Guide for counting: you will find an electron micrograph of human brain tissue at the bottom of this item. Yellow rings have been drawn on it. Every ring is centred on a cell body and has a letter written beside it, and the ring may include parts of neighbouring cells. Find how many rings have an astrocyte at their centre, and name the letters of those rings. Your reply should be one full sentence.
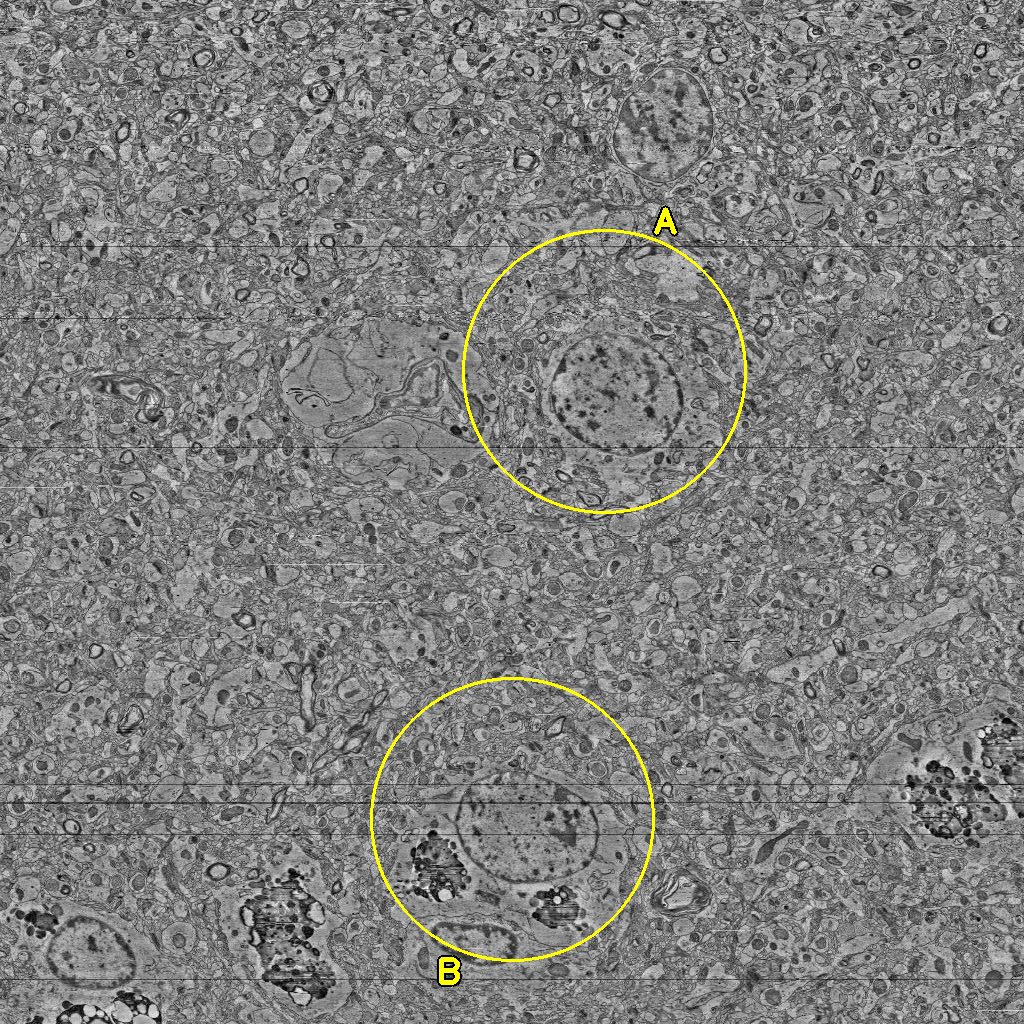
The rings bearing the letters A and B number two, and each of them is centred on an astrocyte.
